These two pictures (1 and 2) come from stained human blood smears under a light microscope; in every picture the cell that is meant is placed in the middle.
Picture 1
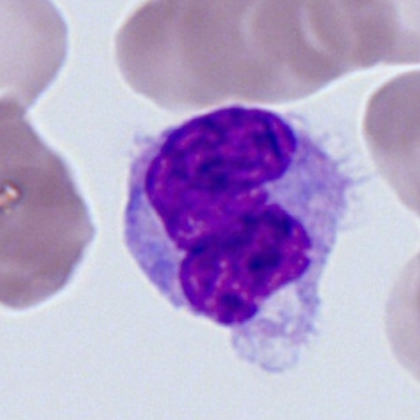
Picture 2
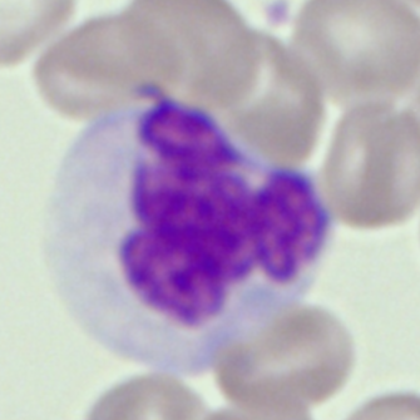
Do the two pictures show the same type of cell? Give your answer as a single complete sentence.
Yes, they are the same type: both are monocytes.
